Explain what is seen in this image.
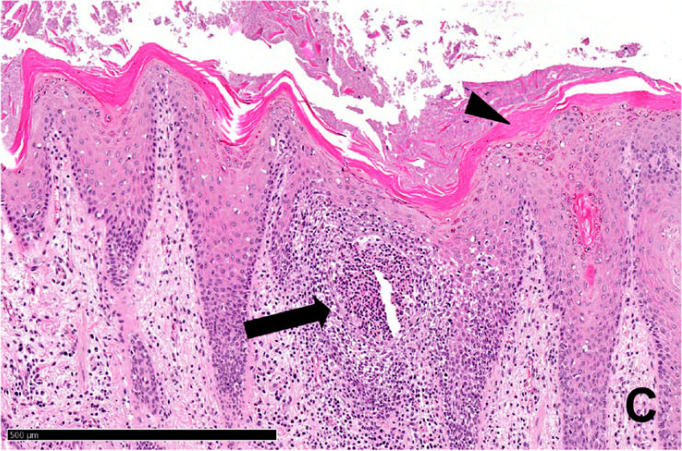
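Skin with a markedly thickened epidermis that sends long, narrow rete ridges deep into the dermis. The surface is capped by a thick, compact, bright pink layer of keratin lacking nuclei, with looser flaky keratin material above it.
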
